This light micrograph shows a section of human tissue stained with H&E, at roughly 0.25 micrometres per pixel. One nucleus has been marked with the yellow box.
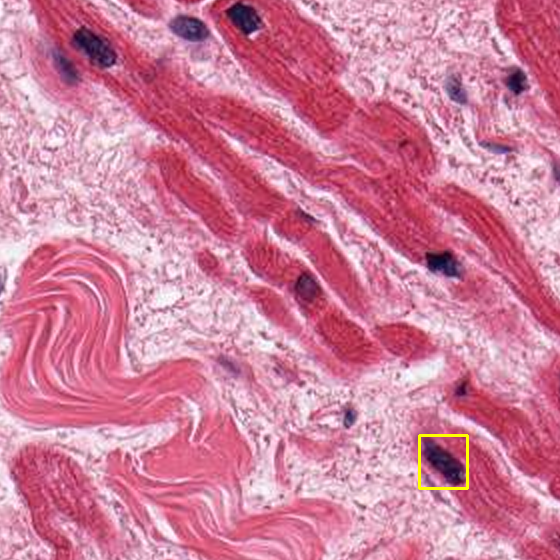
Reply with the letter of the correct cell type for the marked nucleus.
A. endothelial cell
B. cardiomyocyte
B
